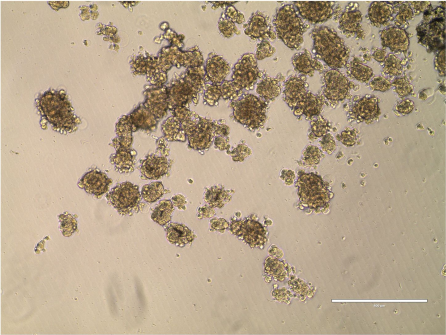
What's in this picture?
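At the edges of the aggregates individual cells bulge outward, giving them a knobbly outline. The aggregates differ in size, and some have joined into larger irregular clusters. Between them lie scattered single cells and small loose clumps on a clear, empty background.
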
